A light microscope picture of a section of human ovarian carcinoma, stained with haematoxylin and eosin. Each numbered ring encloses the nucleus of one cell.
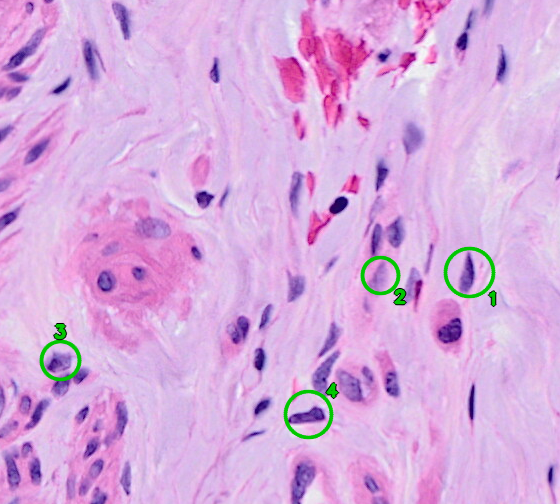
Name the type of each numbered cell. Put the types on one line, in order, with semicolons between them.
fibroblast; endothelial cell; fibroblast; fibroblast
